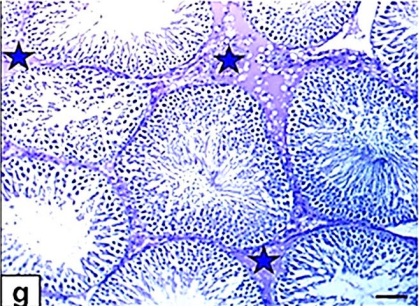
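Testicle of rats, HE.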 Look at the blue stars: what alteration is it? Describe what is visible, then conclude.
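Pale pink homogeneous material fills the spaces between tubules. The material lies outside the tubule walls.
Faint eosinophilic albuminous interstitial edema.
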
